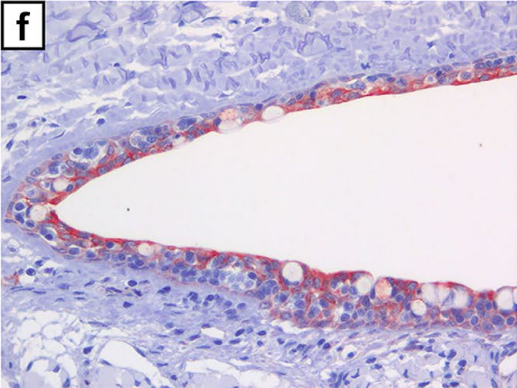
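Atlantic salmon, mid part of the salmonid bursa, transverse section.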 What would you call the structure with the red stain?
Epithelial meshwork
